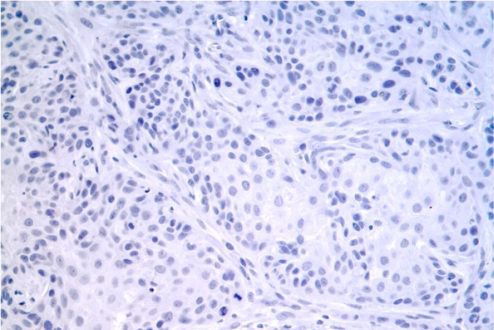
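This is tumor tissue made of nests and sheets of closely packed cells separated by thin strands of stroma. The tumor cells have oval to round blue nuclei and pale, unstained cytoplasm, with no brown colour visible. The stromal strands contain elongated spindle-shaped cells with slender dark nuclei running between the nests.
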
